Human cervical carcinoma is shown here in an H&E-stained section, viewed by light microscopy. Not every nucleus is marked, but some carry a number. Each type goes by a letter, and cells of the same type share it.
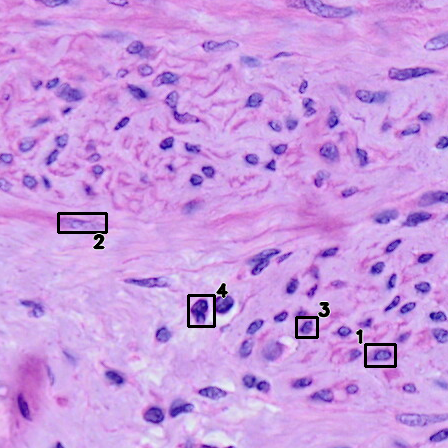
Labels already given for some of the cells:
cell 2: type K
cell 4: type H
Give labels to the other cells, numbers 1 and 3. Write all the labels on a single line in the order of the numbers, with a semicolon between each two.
type K; type K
